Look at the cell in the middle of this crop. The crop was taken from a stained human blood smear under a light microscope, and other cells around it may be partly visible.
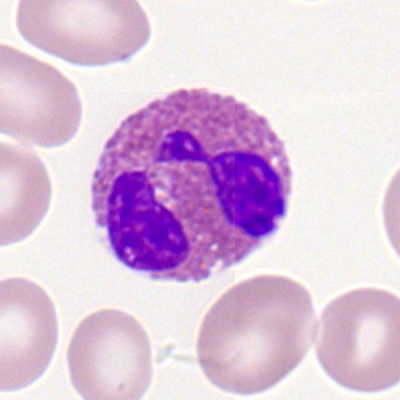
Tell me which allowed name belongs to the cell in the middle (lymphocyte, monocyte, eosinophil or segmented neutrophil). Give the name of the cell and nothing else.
eosinophil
